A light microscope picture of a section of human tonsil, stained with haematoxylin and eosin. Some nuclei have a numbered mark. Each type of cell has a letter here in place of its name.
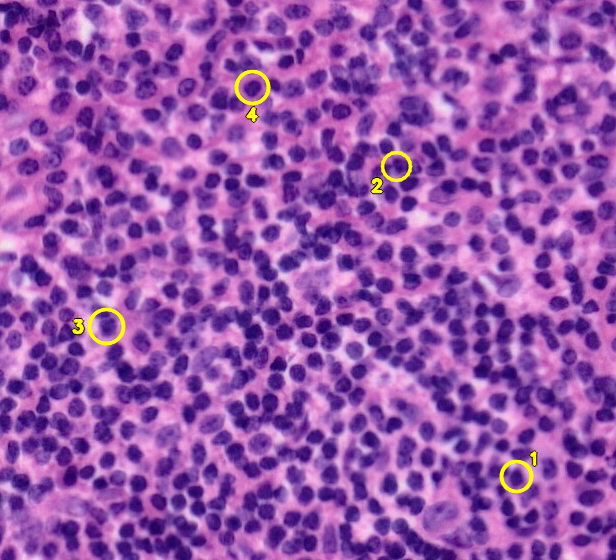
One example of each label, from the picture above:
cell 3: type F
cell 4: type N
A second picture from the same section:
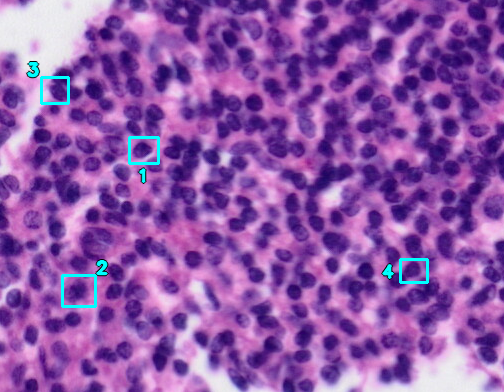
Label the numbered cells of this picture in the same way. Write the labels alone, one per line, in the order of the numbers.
type F
type N
type F
type F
